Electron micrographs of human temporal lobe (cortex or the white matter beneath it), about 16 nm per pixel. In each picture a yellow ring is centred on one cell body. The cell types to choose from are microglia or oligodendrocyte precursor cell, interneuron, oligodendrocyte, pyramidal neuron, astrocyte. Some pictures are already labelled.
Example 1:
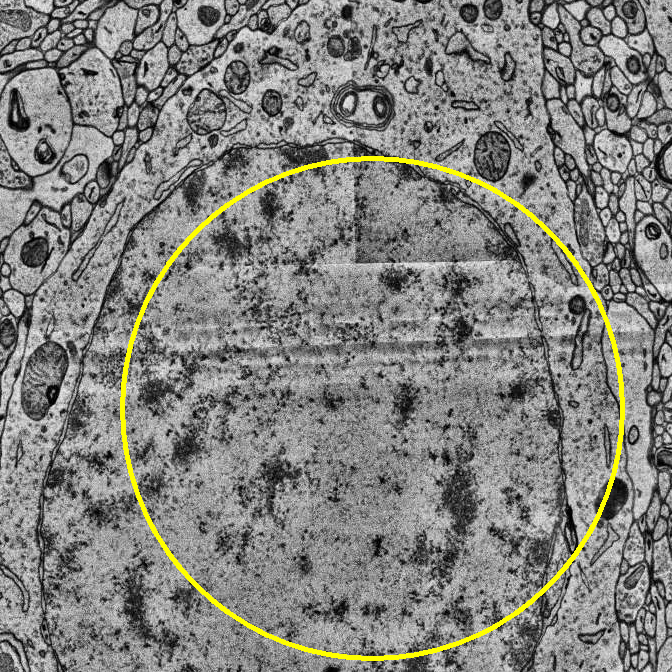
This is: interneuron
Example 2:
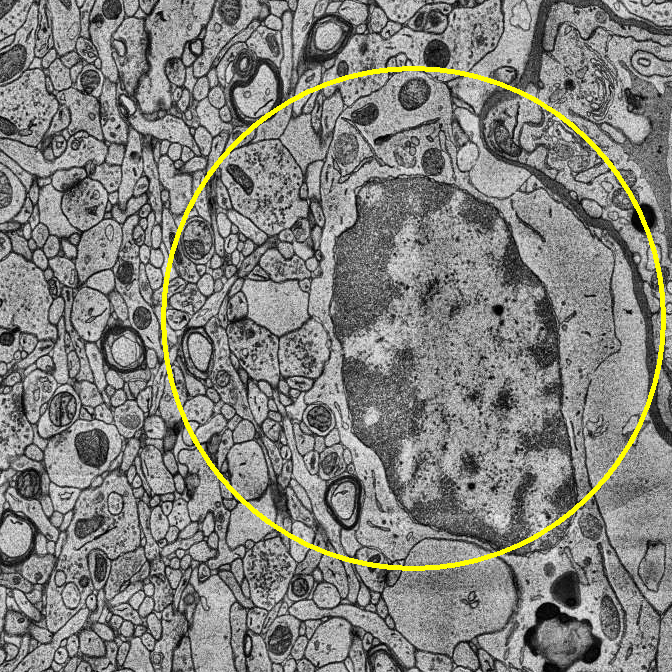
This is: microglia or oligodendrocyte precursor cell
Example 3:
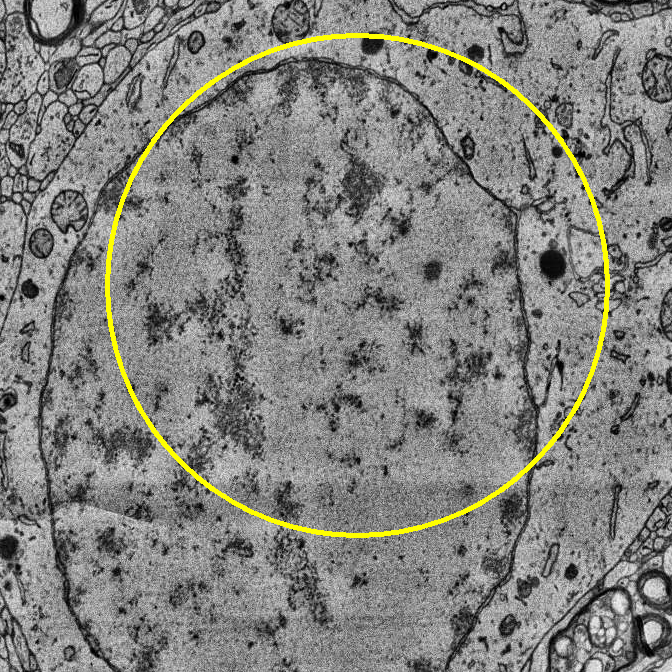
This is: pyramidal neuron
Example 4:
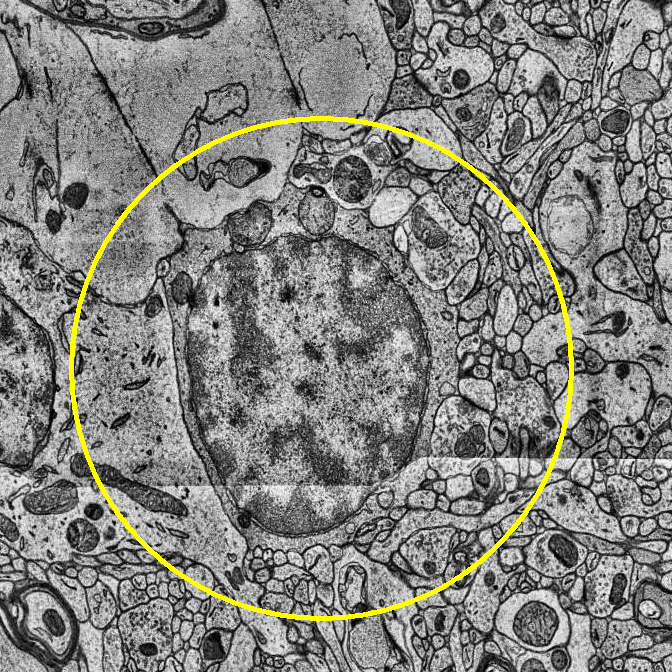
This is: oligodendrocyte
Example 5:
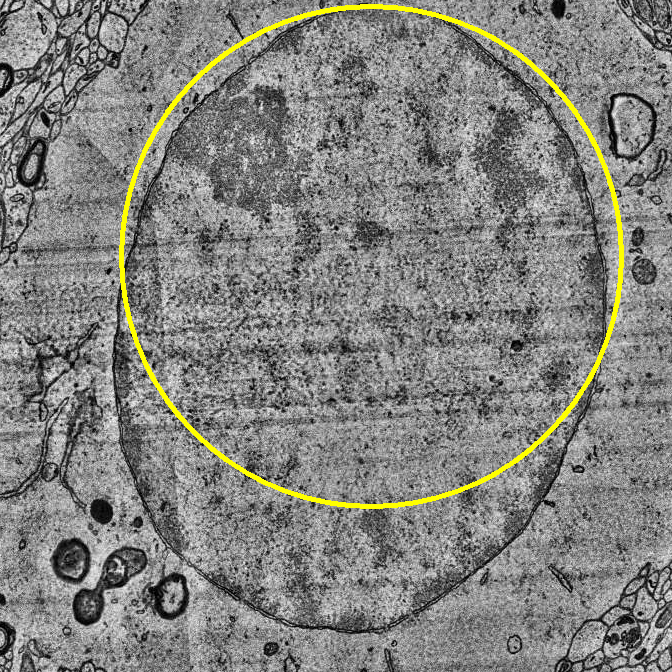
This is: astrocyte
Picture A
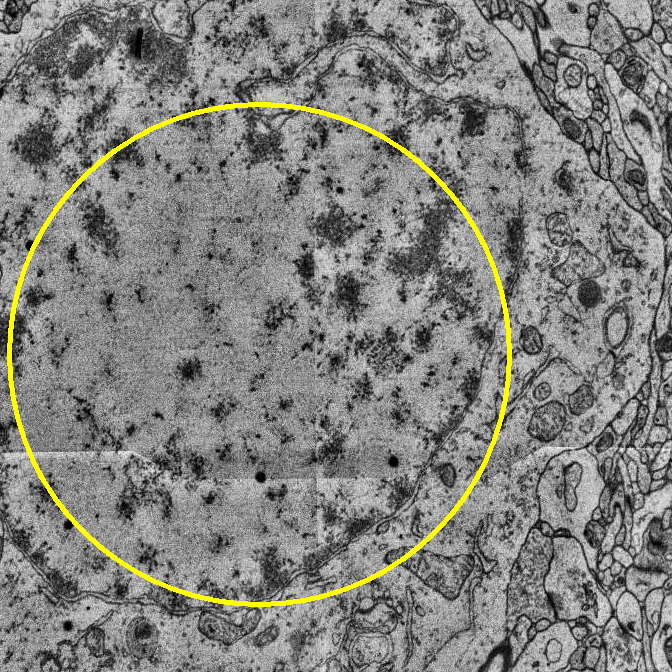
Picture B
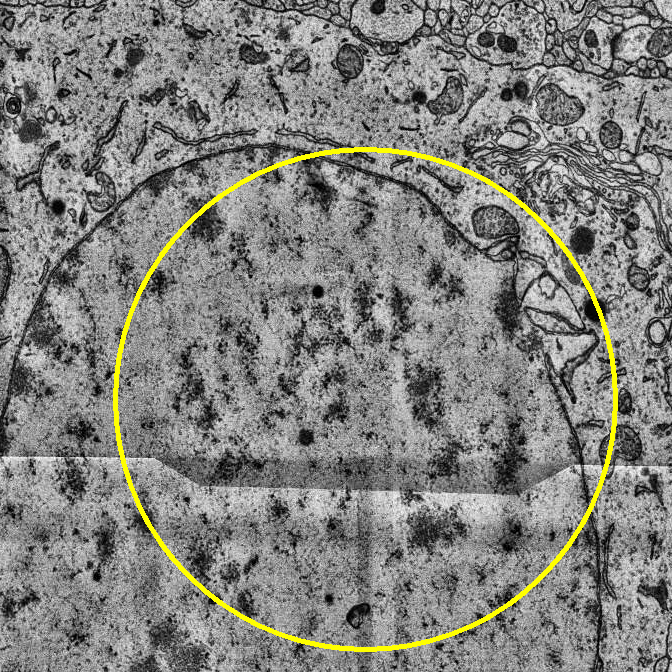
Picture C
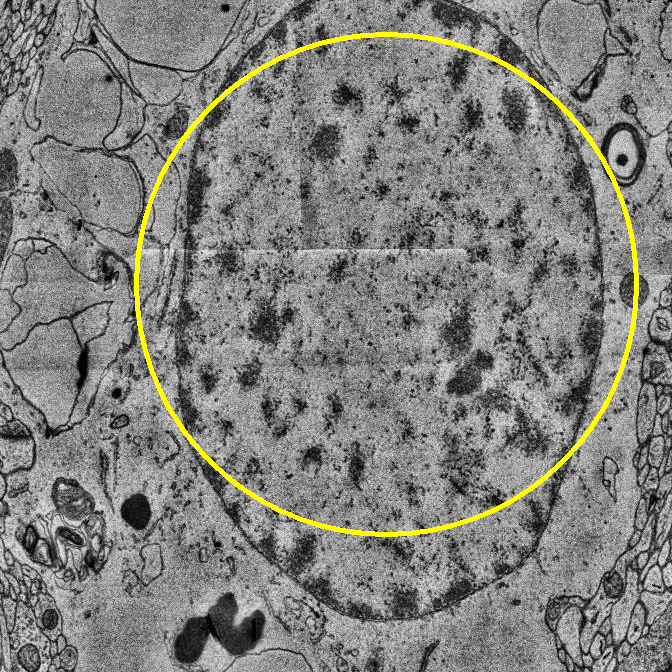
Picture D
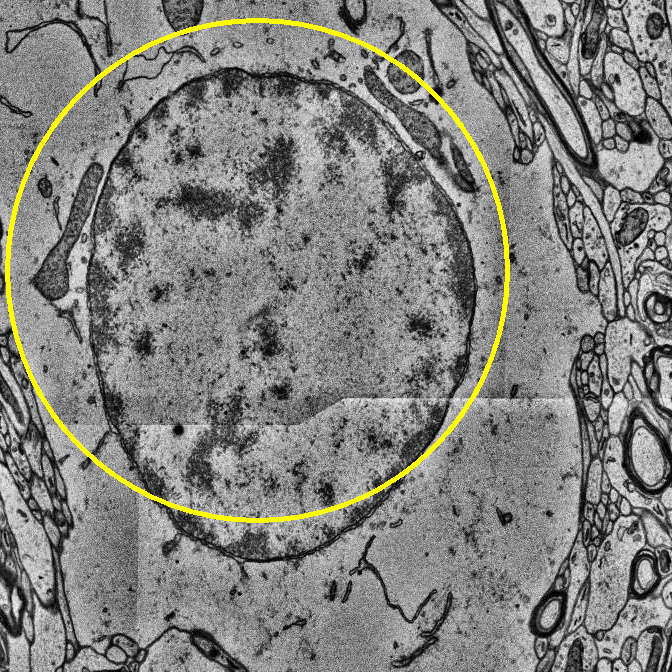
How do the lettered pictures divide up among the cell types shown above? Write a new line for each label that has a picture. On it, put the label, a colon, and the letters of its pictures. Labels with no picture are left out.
interneuron: A
pyramidal neuron: B
astrocyte: C, D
